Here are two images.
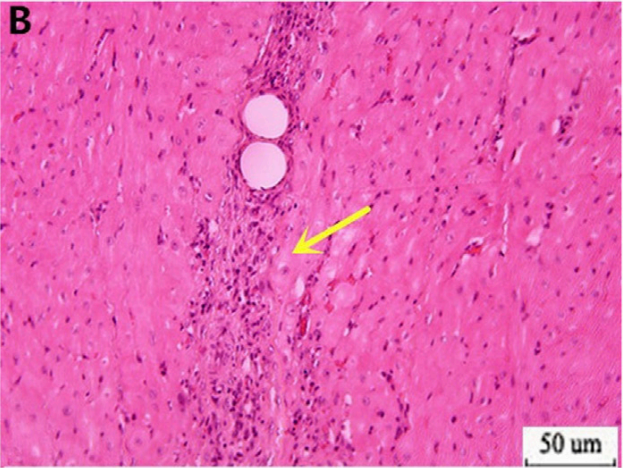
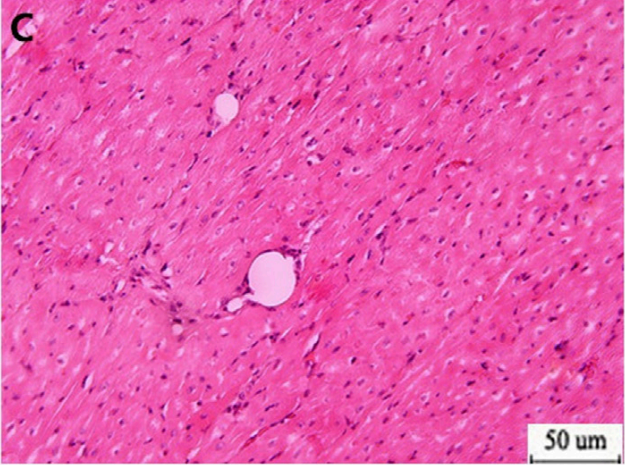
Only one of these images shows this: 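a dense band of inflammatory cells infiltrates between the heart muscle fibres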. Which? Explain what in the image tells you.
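The first image. Second image: small dark nuclei are only loosely scattered around a small vessel, without a dense band. First image: a thick vertical band of closely packed small dark nuclei cuts through the muscle.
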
